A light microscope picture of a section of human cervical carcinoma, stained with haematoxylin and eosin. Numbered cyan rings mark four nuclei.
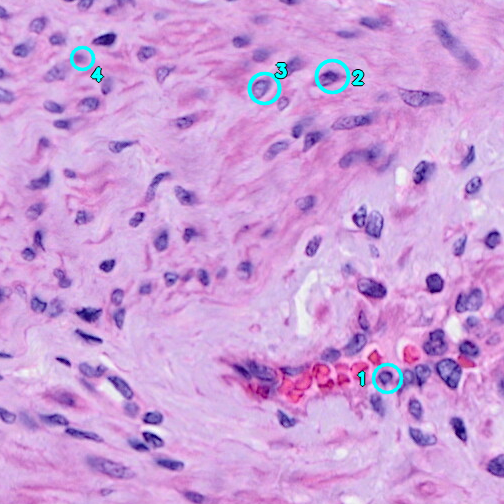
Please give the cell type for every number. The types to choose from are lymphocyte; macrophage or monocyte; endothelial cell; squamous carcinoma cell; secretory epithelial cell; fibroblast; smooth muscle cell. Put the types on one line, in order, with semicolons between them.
endothelial cell; smooth muscle cell; smooth muscle cell; smooth muscle cell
